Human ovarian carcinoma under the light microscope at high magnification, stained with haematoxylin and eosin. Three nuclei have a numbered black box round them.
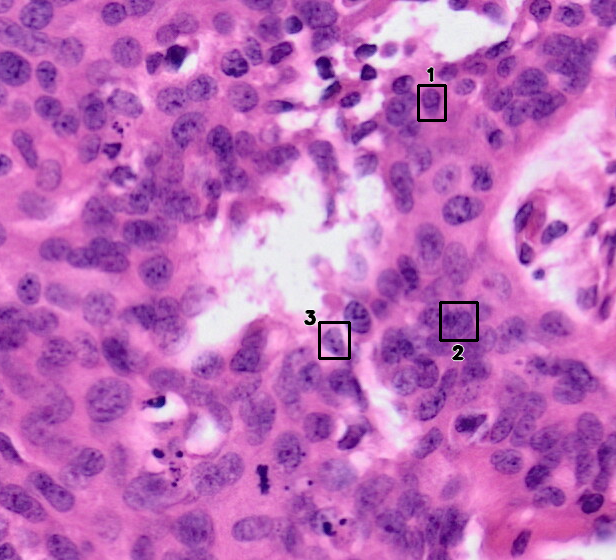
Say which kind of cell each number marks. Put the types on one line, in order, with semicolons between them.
carcinoma cell; carcinoma cell; macrophage or monocyte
